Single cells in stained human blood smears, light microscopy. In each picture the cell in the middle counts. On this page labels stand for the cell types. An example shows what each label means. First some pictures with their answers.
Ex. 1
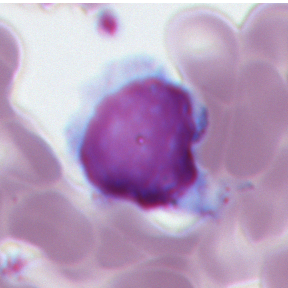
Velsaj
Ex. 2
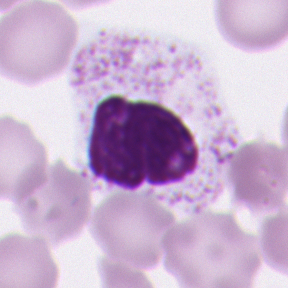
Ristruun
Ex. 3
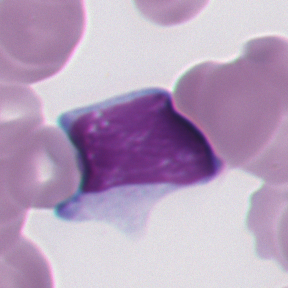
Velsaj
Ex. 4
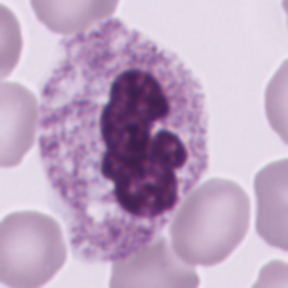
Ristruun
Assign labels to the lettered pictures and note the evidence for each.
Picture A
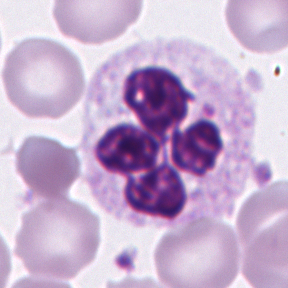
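Ristruun. Evidence: The nucleus is divided into four separate lobes.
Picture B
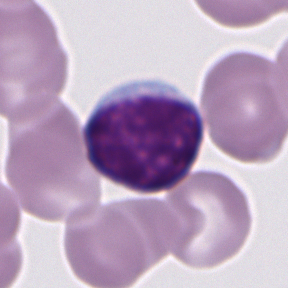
Velsaj. Evidence: The cytoplasm forms a thin crescent that is widest along the top of the cell.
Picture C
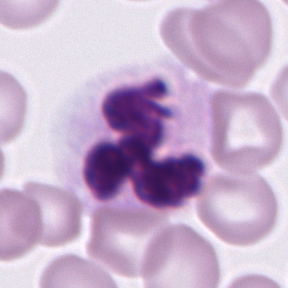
Ristruun. Evidence: The cytoplasm is plentiful and pale pink-lilac.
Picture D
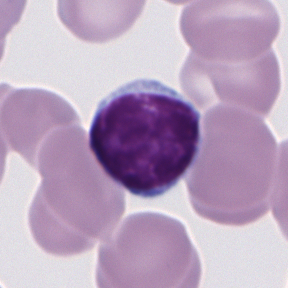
Velsaj. Evidence: The cytoplasm forms only a thin rim around the nucleus.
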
